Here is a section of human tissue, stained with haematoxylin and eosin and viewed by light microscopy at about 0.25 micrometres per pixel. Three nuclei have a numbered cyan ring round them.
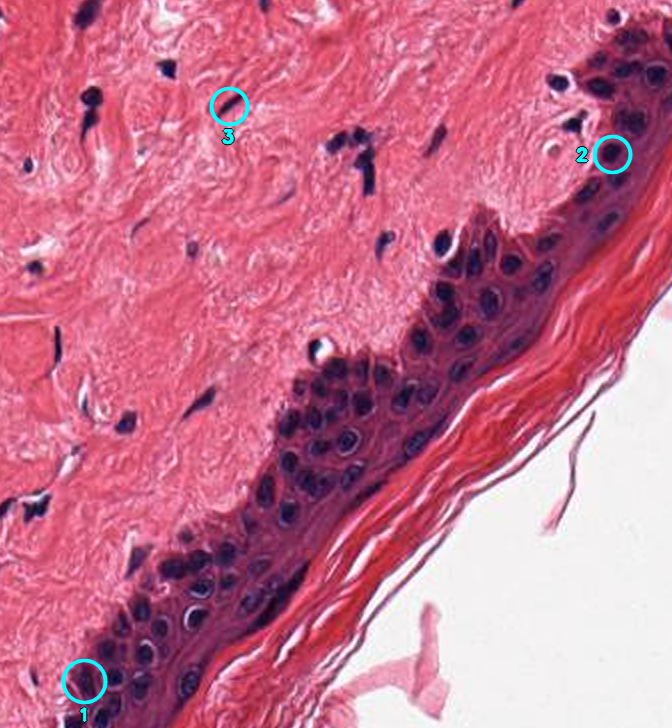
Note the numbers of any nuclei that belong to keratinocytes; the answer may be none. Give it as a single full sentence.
Nuclei 1 and 2, as numbered in the section, belong to keratinocytes.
